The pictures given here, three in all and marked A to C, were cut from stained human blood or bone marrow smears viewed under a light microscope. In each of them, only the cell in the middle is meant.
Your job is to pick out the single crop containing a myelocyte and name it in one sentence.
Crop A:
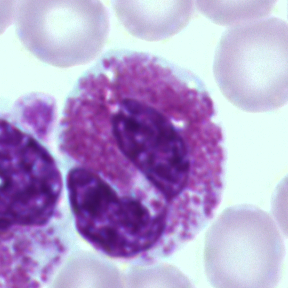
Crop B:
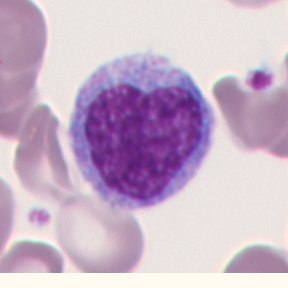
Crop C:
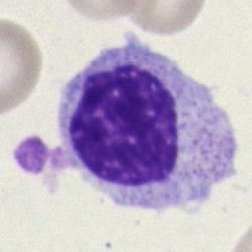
Identified crop: C, the one that shows a myelocyte.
